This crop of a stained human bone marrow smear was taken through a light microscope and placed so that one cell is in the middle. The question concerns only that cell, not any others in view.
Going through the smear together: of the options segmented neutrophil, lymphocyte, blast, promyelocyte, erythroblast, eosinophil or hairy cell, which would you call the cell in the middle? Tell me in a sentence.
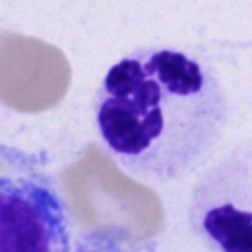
By classification, the middle cell of this crop is a segmented neutrophil.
